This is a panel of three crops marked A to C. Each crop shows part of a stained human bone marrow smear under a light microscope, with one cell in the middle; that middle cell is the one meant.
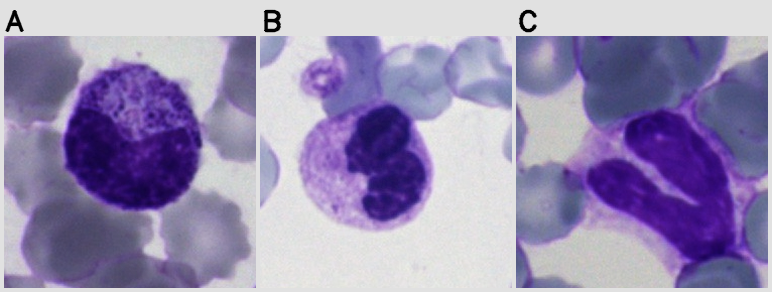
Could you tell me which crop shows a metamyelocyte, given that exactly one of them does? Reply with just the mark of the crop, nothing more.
A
